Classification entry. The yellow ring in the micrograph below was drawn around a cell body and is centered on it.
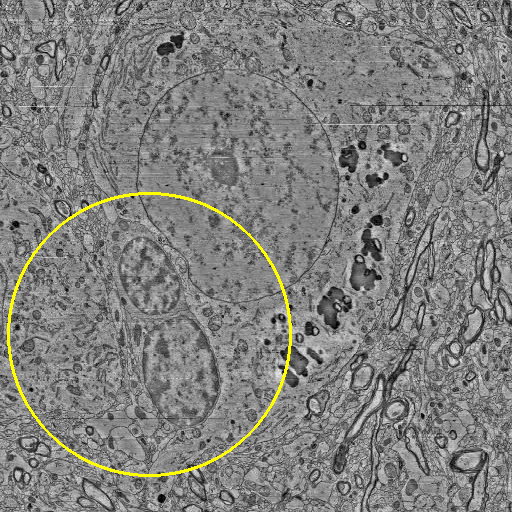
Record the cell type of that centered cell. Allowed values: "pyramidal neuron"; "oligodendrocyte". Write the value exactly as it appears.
oligodendrocyte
